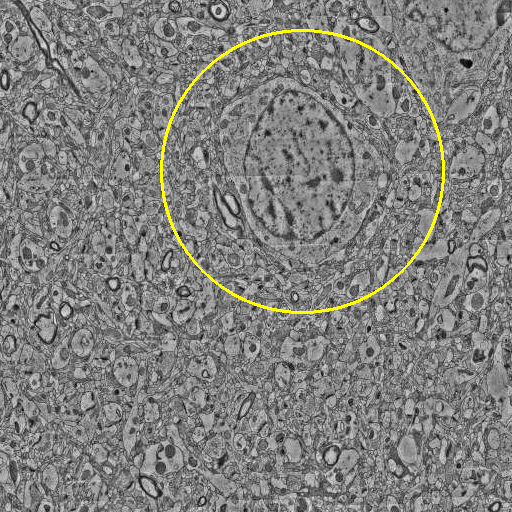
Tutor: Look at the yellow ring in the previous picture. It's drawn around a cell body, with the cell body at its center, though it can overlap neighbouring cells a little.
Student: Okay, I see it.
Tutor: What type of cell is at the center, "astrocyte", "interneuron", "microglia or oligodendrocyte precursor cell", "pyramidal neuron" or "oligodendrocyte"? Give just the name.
interneuron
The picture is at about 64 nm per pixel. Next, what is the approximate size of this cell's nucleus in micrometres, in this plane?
In this plane the nucleus is about 10 micrometres by 7.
